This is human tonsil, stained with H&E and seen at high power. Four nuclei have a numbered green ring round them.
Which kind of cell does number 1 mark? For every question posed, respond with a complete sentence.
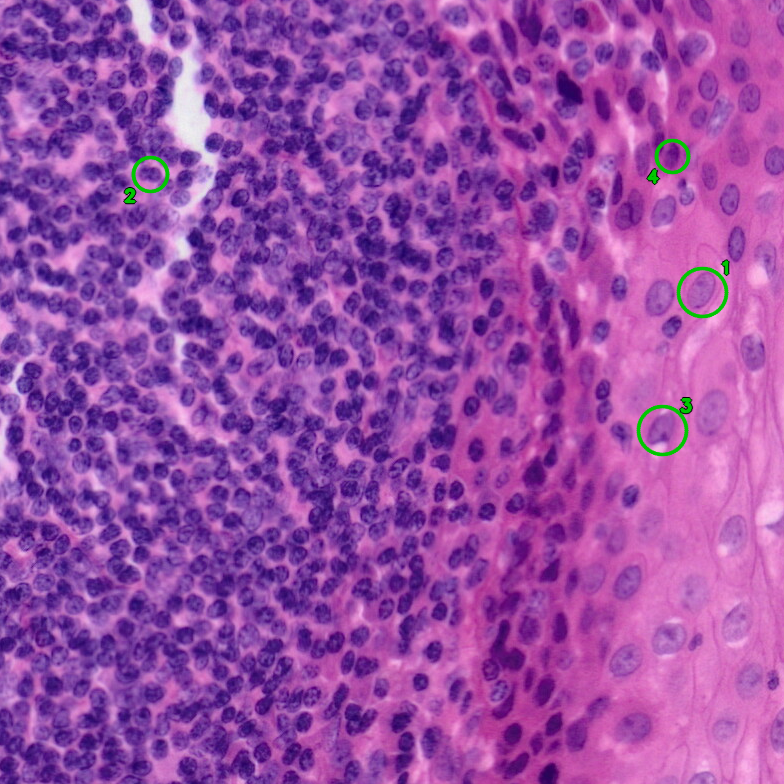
In this section, the cell tagged 1 is a squamous epithelial cell.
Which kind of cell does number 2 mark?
The cell that carries the label 2 is a small lymphocyte.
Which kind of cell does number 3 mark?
Cell 3 is classified as a squamous epithelial cell.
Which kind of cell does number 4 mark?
The numbered cell 4 in this field is a squamous epithelial cell.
